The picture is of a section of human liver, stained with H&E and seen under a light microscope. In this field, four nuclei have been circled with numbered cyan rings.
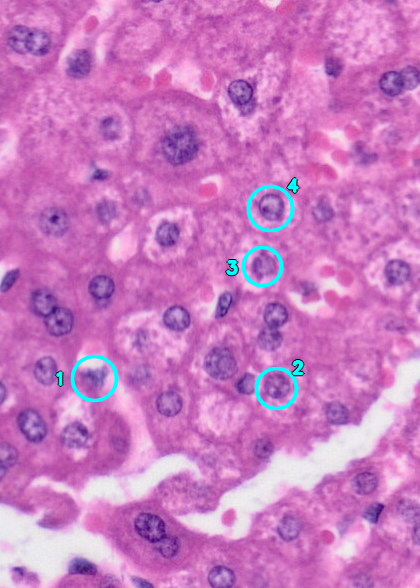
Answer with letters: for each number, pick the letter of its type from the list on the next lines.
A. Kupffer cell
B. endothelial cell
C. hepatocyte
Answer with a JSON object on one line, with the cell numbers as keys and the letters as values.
{"1": "B", "2": "C", "3": "C", "4": "C"}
